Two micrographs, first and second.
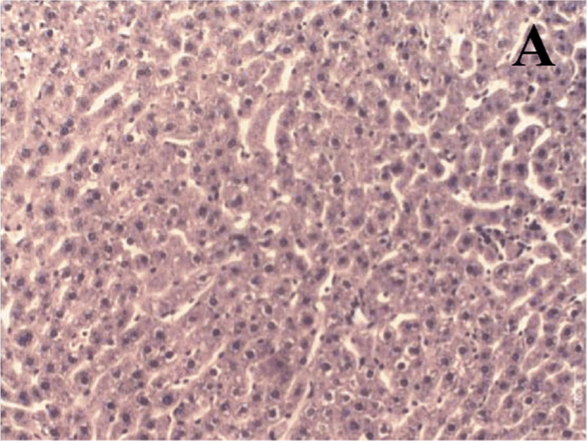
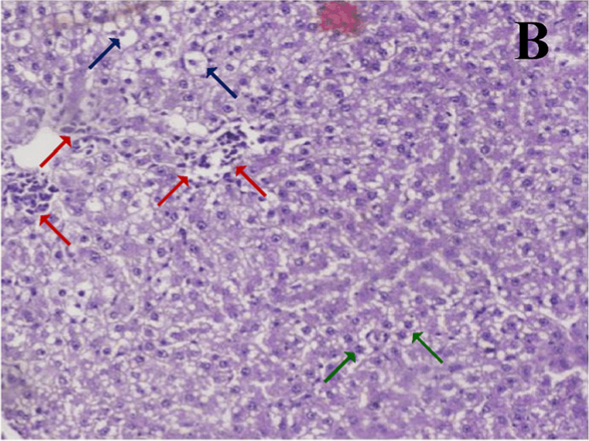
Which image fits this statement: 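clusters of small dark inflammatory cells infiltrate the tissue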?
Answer: The second image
